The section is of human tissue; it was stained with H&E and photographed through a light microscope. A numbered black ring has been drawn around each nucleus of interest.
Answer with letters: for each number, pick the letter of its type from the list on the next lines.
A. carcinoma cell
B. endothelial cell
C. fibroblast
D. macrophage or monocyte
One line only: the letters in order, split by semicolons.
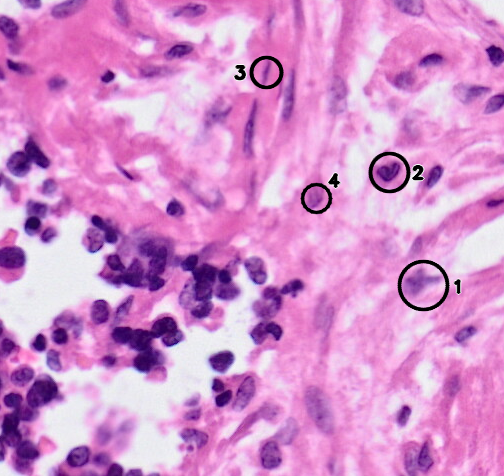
C; D; C; C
